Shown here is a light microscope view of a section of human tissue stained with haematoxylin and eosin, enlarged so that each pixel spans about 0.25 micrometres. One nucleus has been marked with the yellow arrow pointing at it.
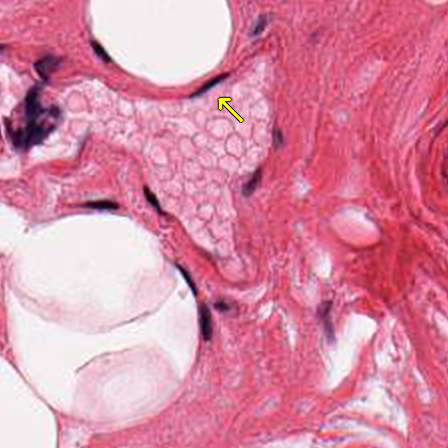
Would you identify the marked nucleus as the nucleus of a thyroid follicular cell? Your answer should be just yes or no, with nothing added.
no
